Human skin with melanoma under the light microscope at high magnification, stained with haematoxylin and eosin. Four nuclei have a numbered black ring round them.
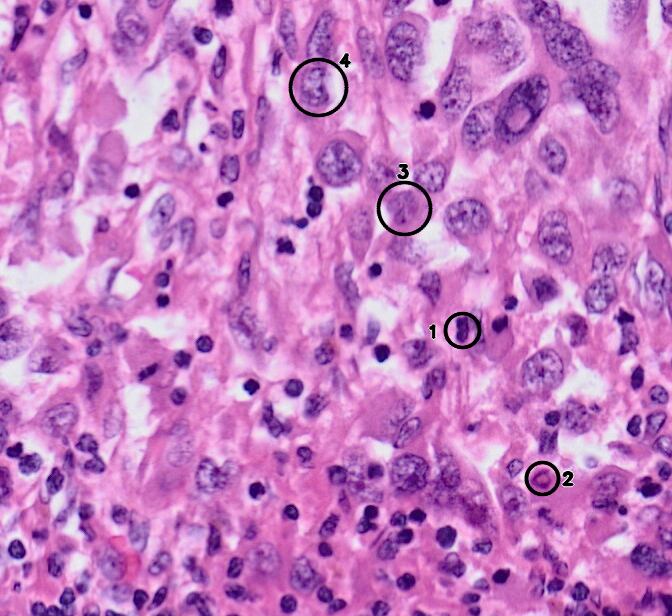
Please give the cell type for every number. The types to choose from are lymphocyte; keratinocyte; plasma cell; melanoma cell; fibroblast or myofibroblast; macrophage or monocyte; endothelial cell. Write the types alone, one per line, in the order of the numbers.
lymphocyte
melanoma cell
melanoma cell
melanoma cell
